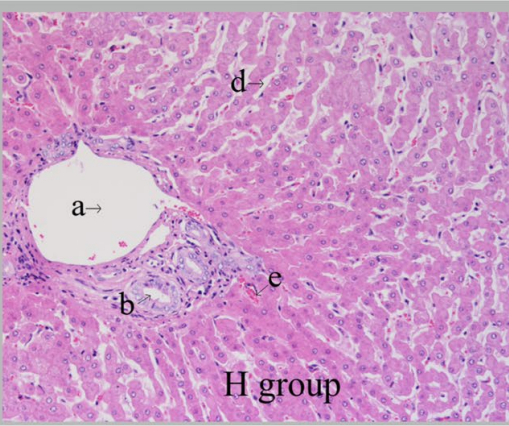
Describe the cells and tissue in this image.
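Liver with a portal area holding a large thin-walled vein with a wide empty lumen and, beside it, a small artery whose thick wall shows concentric layers of elongated nuclei, set in connective tissue with small dark nuclei. Around it, cords of polygonal pink hepatocytes with round central nuclei radiate outward, separated by narrow pale sinusoidal channels, some holding red cells.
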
